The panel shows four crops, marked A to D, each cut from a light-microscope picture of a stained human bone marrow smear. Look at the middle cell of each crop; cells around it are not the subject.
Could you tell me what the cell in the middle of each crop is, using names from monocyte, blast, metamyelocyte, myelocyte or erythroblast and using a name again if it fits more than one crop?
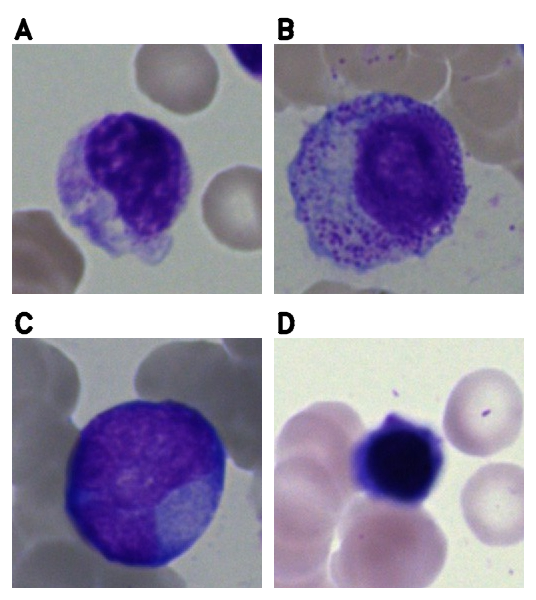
A: metamyelocyte
B: myelocyte
C: blast
D: erythroblast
